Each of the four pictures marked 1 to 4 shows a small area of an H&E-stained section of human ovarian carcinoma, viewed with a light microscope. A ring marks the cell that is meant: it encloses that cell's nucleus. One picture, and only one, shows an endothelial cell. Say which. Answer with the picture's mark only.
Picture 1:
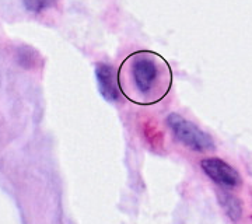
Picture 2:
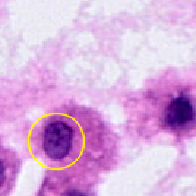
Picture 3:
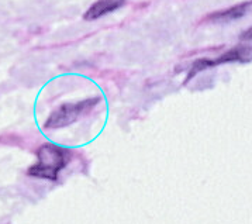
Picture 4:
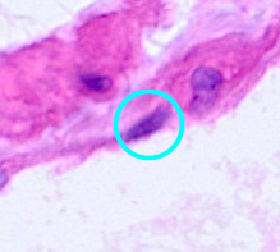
4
